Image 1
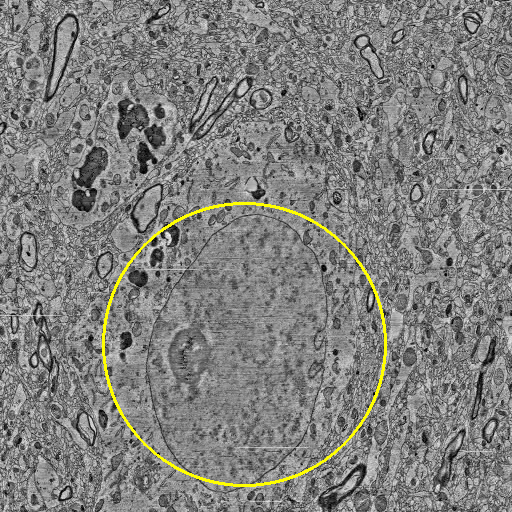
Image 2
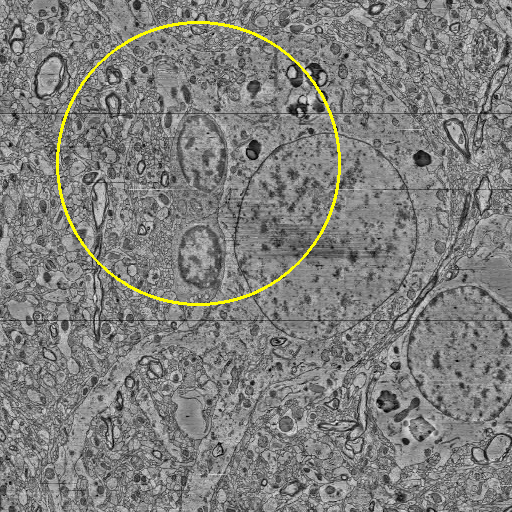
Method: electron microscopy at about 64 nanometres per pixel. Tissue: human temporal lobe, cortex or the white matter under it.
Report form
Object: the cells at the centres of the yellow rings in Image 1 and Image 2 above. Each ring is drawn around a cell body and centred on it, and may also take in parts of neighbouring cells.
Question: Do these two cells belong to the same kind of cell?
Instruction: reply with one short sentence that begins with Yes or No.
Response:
No, they belong to two kinds of cell.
